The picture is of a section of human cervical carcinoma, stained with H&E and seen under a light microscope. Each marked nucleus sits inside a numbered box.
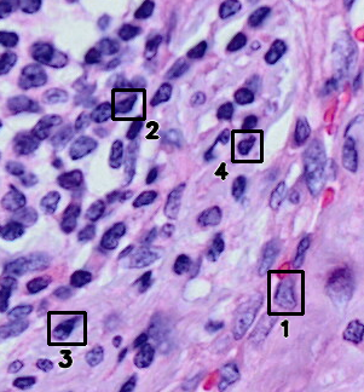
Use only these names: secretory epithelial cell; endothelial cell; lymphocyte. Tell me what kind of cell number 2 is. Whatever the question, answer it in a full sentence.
Number 2 among the marked cells is a lymphocyte.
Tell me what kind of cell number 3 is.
The marked cell with the number 3 is recognised as a lymphocyte.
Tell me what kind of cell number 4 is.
The one numbered 4 among the marked cells is a lymphocyte.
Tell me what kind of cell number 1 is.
The cell identified by the number 1 is an endothelial cell.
